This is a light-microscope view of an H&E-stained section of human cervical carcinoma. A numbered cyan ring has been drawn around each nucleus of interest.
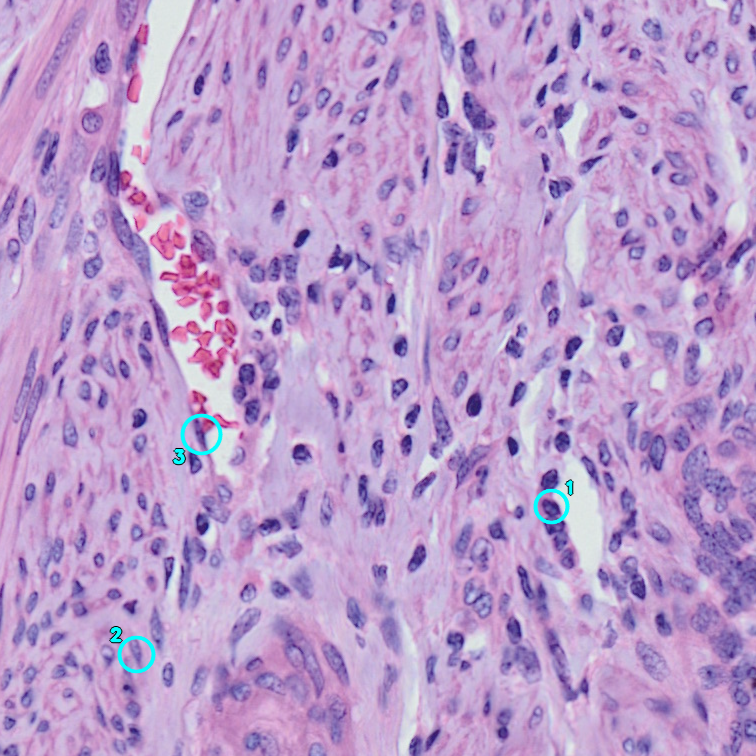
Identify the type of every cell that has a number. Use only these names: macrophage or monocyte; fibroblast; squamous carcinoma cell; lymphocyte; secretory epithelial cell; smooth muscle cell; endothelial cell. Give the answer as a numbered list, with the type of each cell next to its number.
1. lymphocyte
2. smooth muscle cell
3. endothelial cell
